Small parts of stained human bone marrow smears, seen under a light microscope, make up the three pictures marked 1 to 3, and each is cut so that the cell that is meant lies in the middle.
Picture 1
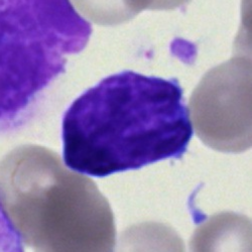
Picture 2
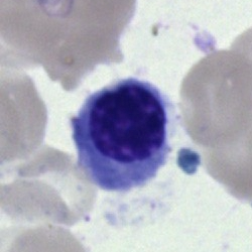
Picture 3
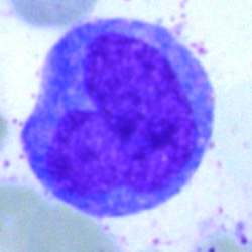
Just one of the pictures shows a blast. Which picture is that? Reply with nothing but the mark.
1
